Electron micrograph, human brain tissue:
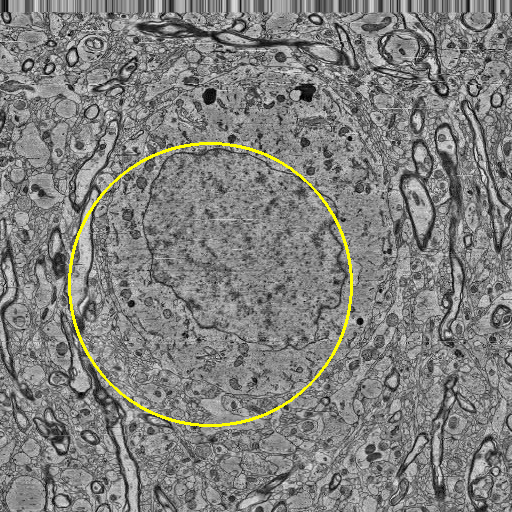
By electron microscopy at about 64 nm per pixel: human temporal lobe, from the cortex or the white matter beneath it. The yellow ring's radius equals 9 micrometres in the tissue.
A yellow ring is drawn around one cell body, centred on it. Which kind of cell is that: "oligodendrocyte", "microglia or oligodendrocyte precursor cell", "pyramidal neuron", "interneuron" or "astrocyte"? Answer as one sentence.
It is a pyramidal neuron at the centre of the ring.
